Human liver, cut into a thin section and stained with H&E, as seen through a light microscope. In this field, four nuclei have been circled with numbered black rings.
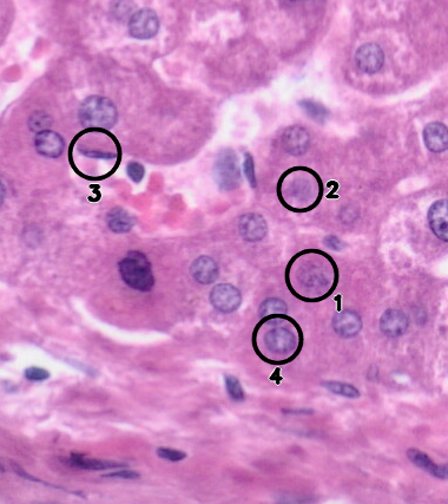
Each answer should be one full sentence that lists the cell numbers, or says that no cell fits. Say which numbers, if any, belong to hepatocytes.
The cells bearing the numbers 1, 2 and 4 are hepatocytes.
